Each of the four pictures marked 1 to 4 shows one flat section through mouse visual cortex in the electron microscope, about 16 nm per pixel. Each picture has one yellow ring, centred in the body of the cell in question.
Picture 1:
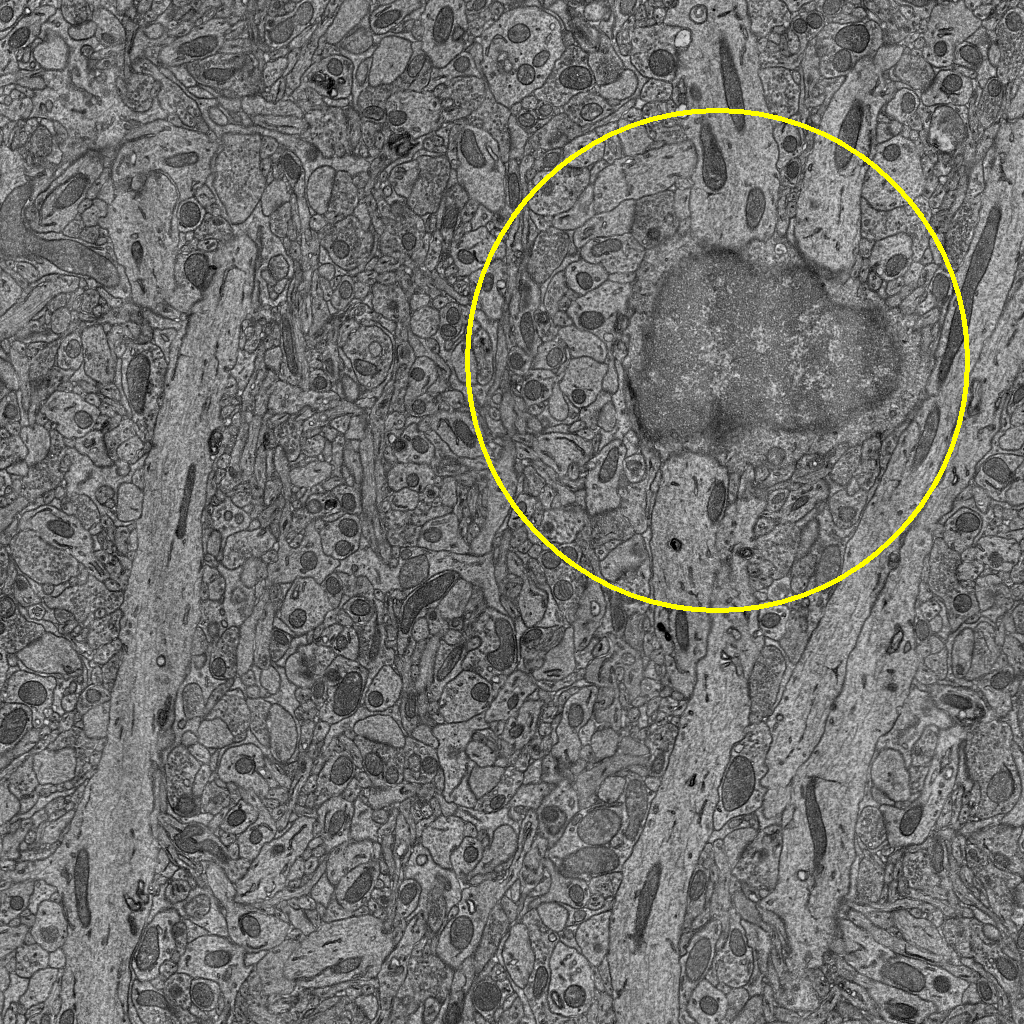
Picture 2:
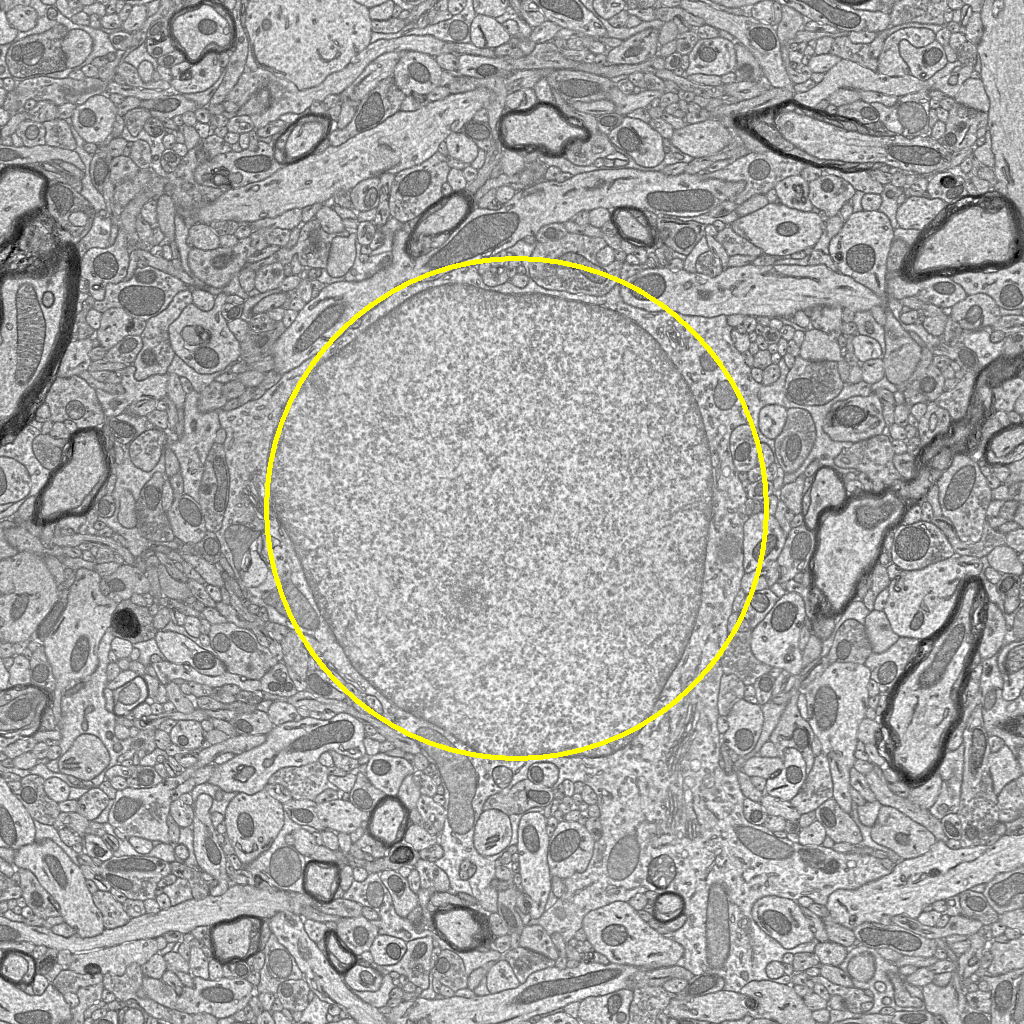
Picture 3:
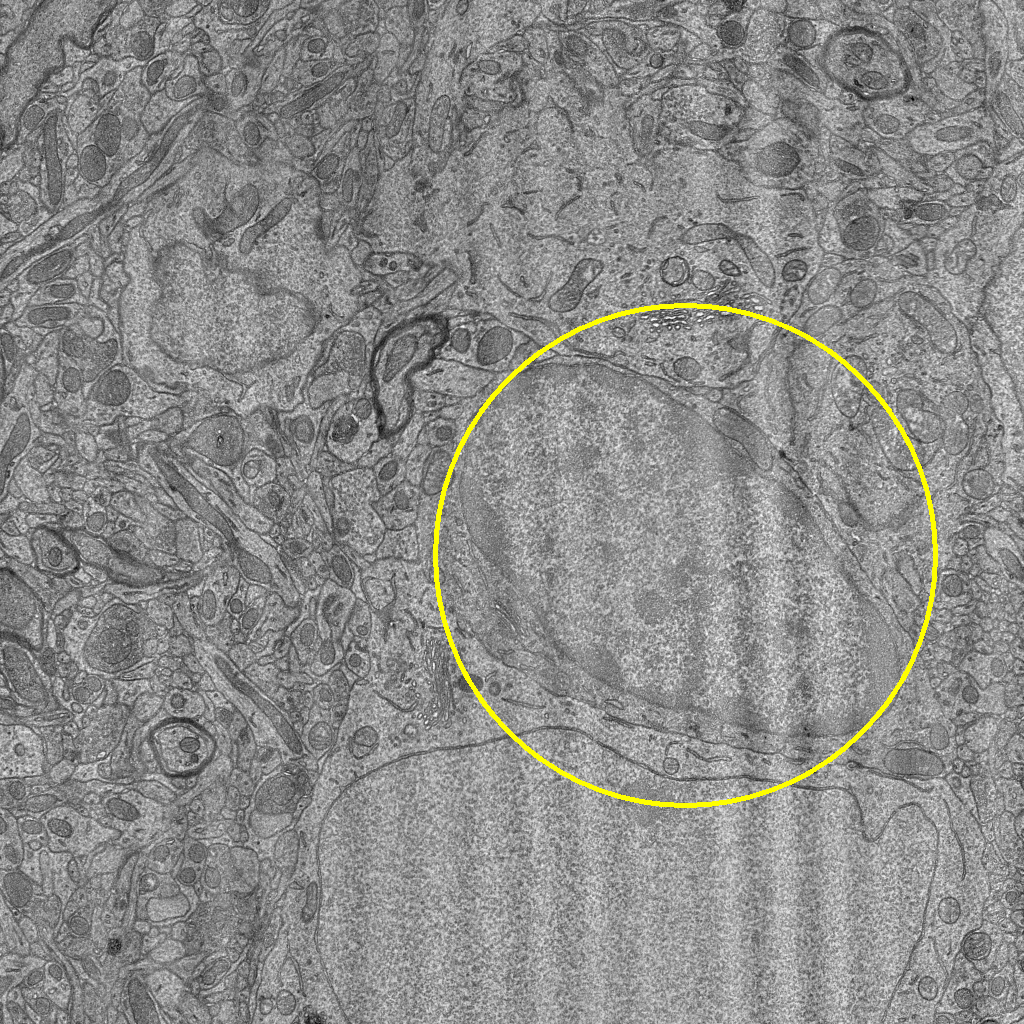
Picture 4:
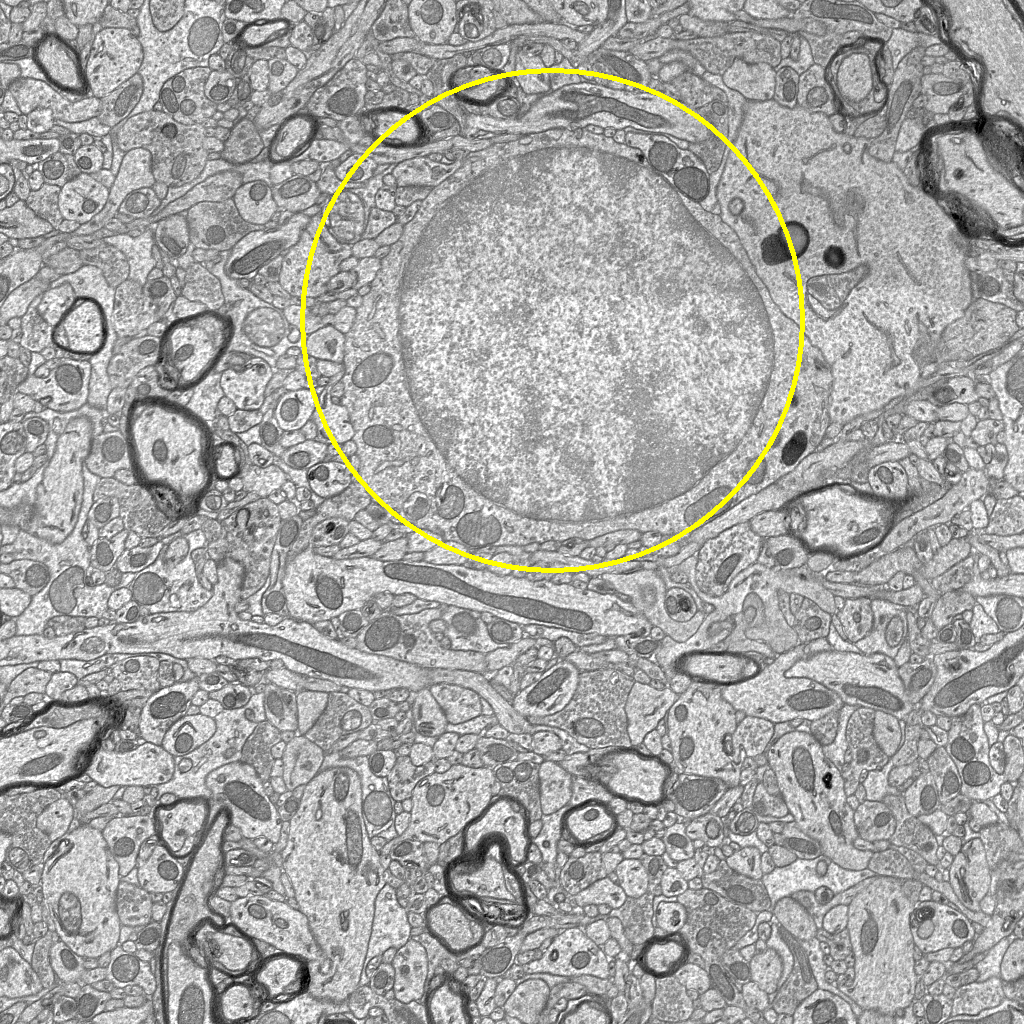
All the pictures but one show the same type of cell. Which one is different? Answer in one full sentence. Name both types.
Picture 2 is the odd one out: it shows an astrocyte, while the others show oligodendrocytes.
